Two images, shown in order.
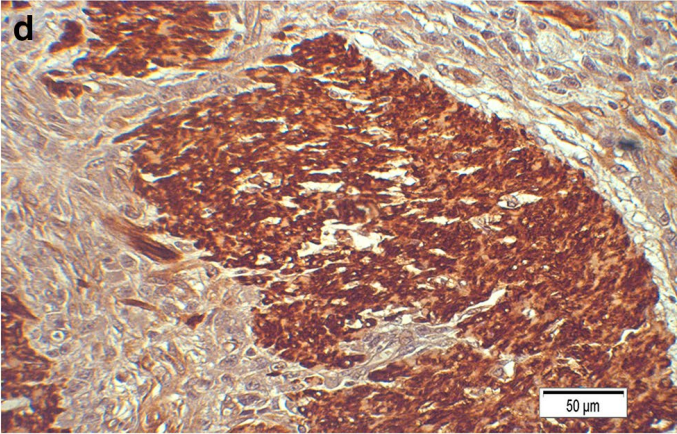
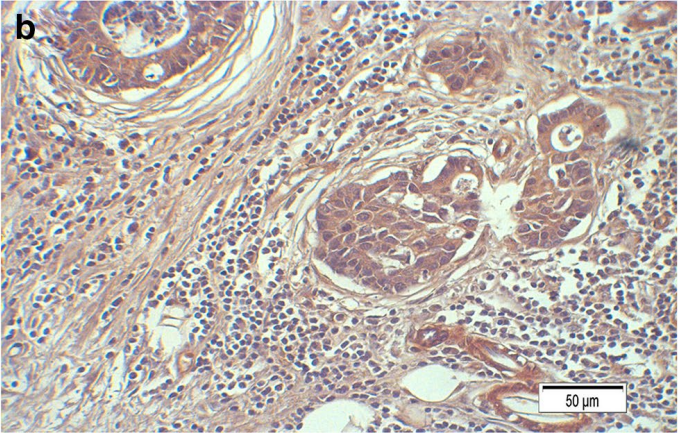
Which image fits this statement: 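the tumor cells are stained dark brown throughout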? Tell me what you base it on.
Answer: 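Second image: the epithelial nests show only a pale light-brown tint, with nuclei still clearly visible. First image: the cell nest is a solid dark brown that obscures individual nuclei. The answer: the first image.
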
